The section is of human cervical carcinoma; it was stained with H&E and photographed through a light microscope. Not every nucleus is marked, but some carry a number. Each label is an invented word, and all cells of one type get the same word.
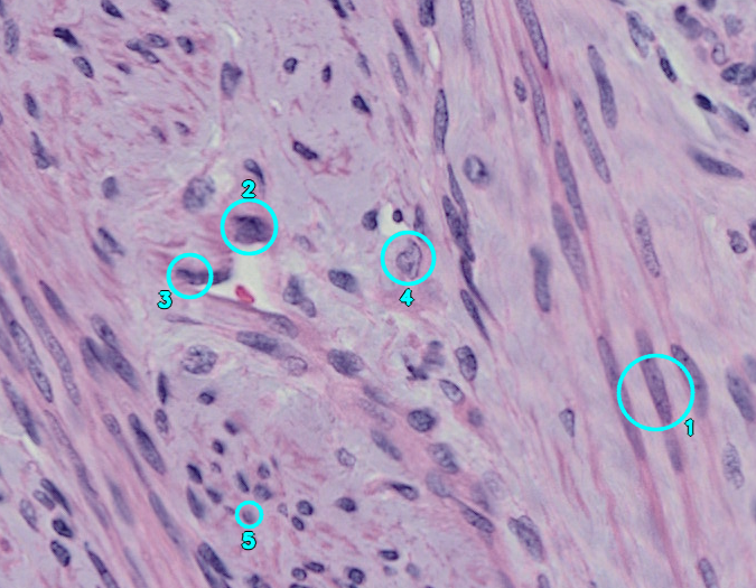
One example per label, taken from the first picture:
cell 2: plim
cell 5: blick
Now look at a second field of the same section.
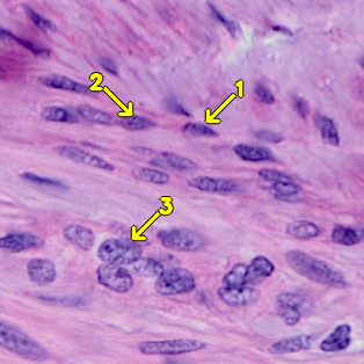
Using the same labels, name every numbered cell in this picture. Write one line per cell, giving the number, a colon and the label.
1: blick
2: blick
3: plim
